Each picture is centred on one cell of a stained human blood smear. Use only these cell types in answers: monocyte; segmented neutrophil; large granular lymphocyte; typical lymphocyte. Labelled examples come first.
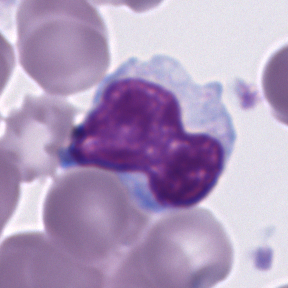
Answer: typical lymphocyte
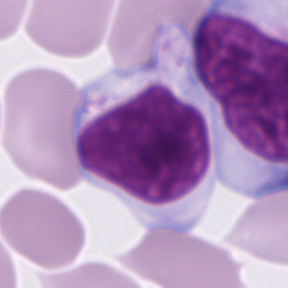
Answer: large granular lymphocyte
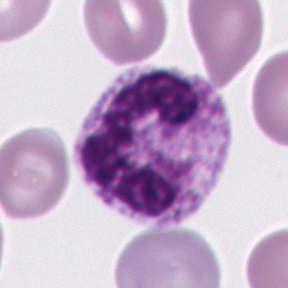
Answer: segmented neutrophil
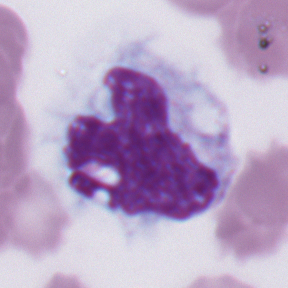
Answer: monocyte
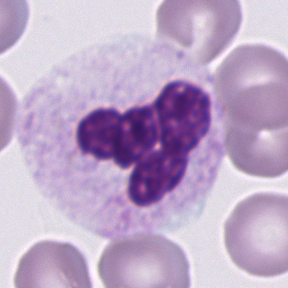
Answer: segmented neutrophil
